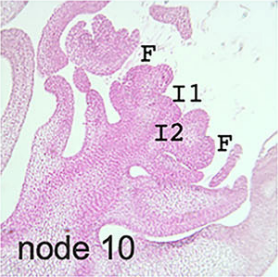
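Longitudinal section through a shoot apex in which the tip has split into several rounded lobes of meristem tissue stacked along one side. The lobes are made of small, tightly packed, evenly stained pink cells, and the outermost ones bulge further into smaller rounded outgrowths, with thin leaf-like organs alongside.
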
